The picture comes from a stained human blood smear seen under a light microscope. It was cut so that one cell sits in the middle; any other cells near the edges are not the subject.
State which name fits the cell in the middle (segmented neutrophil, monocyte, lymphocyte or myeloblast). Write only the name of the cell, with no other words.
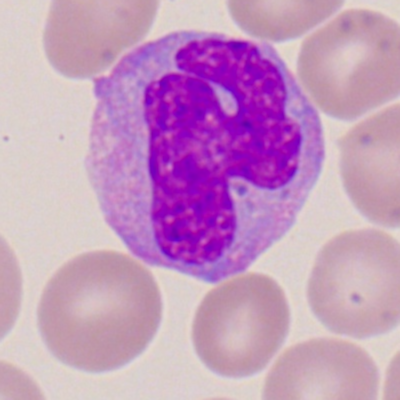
monocyte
